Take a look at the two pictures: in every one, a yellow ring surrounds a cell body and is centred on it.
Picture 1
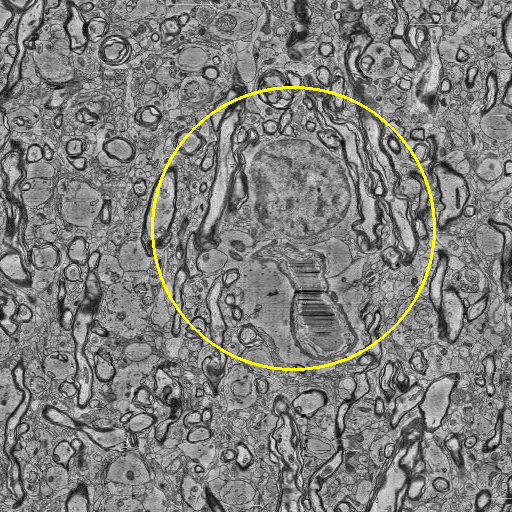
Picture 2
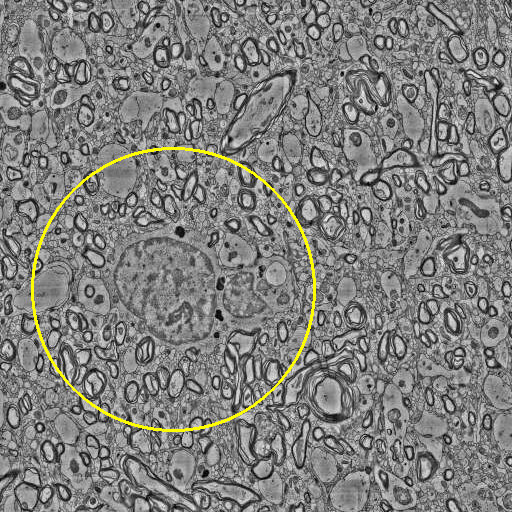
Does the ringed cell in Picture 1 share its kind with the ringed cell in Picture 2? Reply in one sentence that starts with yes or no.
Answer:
Yes, the two centred cells, one per picture, are of one kind.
